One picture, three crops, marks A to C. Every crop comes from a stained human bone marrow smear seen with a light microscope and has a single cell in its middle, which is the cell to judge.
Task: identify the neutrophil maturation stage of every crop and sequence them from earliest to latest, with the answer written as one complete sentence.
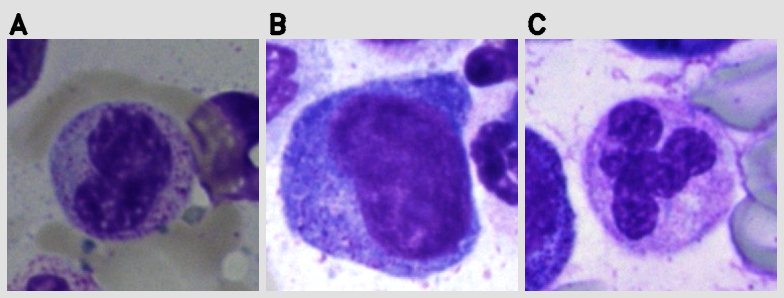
From the least mature to the most mature, the order reads crop B (a promyelocyte), crop A (a metamyelocyte) and crop C (a segmented neutrophil).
